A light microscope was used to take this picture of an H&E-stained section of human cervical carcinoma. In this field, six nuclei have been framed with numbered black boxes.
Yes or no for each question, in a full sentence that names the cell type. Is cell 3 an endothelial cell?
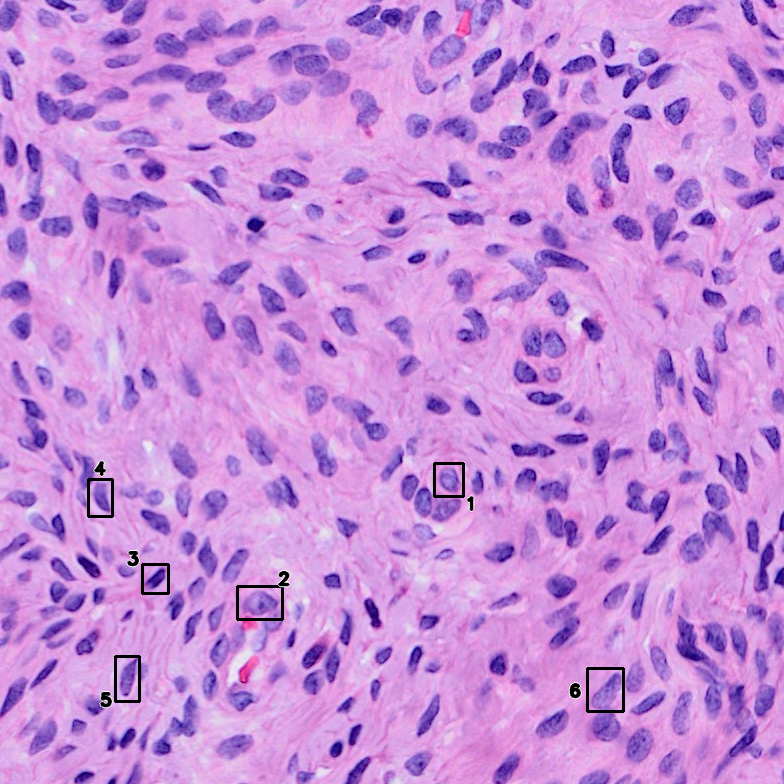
No, cell 3 is not an endothelial cell. It is a fibroblast.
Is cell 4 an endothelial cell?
No, cell 4 is not an endothelial cell. It is a fibroblast.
